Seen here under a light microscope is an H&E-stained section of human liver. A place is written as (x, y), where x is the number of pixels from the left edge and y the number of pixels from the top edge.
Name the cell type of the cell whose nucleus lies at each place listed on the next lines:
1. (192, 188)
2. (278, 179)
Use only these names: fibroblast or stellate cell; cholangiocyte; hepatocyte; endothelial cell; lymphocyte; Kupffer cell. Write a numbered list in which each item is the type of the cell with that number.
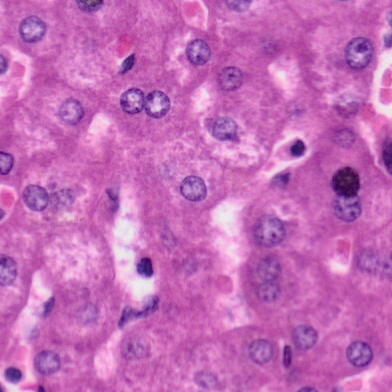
1. hepatocyte
2. Kupffer cell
